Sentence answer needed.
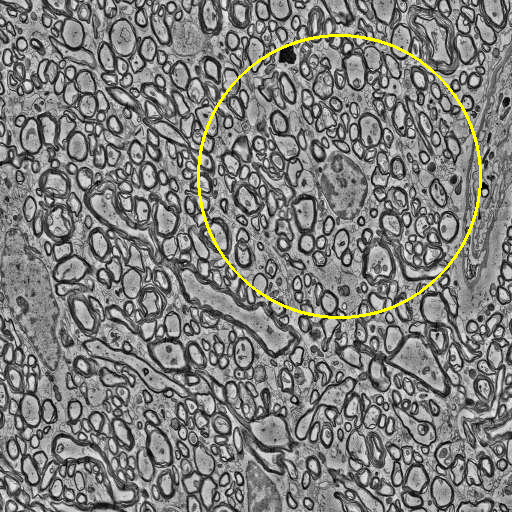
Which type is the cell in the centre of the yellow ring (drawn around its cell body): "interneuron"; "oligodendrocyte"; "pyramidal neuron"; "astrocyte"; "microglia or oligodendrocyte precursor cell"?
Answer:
In the centre of the yellow ring is a microglial cell or oligodendrocyte precursor cell.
